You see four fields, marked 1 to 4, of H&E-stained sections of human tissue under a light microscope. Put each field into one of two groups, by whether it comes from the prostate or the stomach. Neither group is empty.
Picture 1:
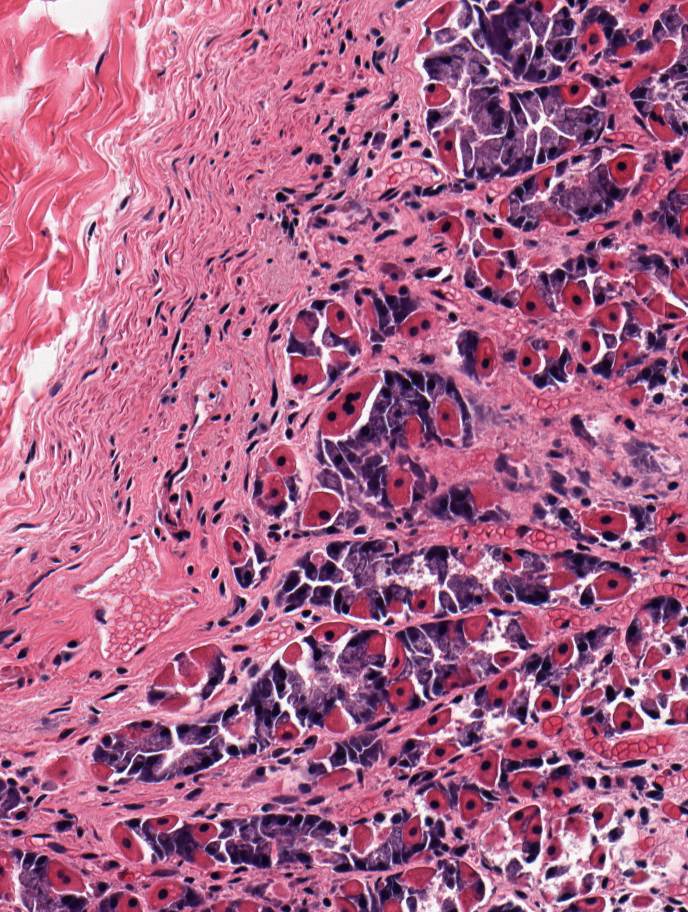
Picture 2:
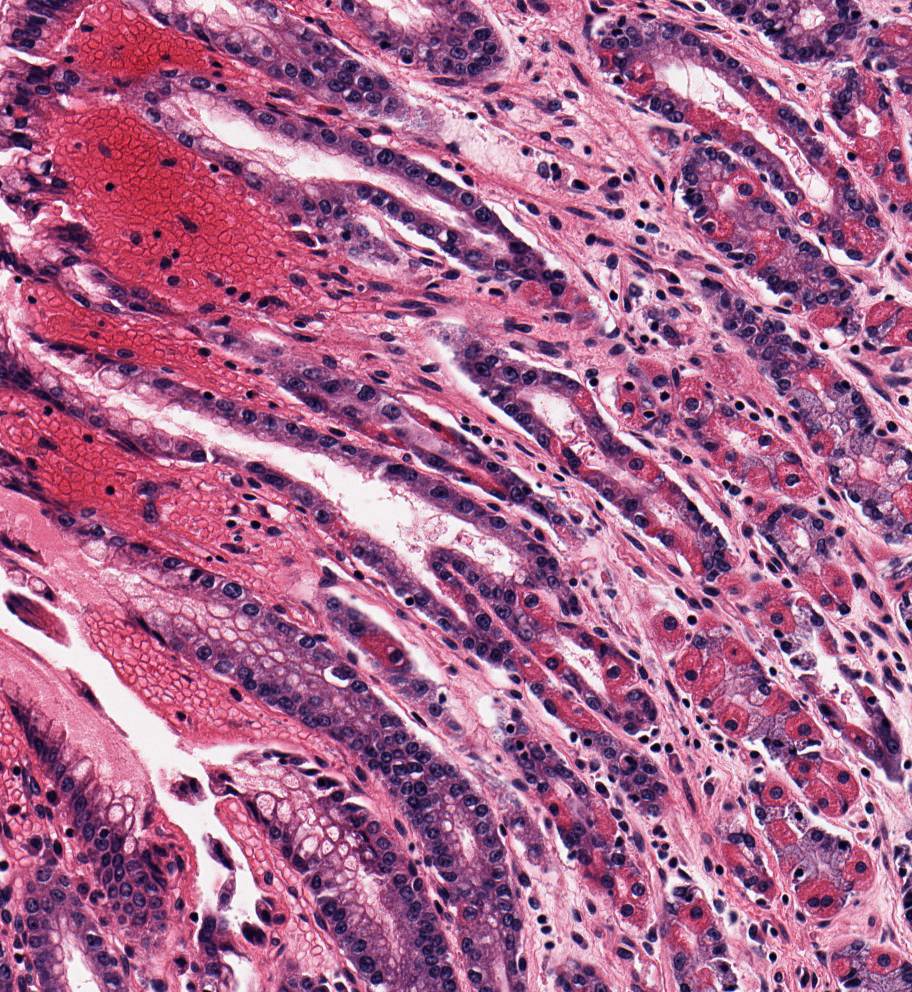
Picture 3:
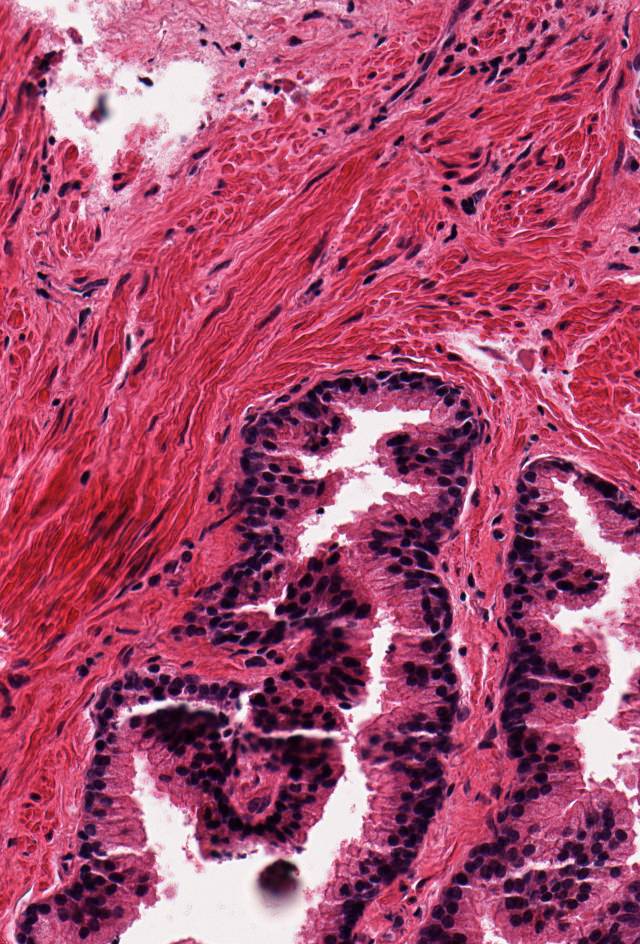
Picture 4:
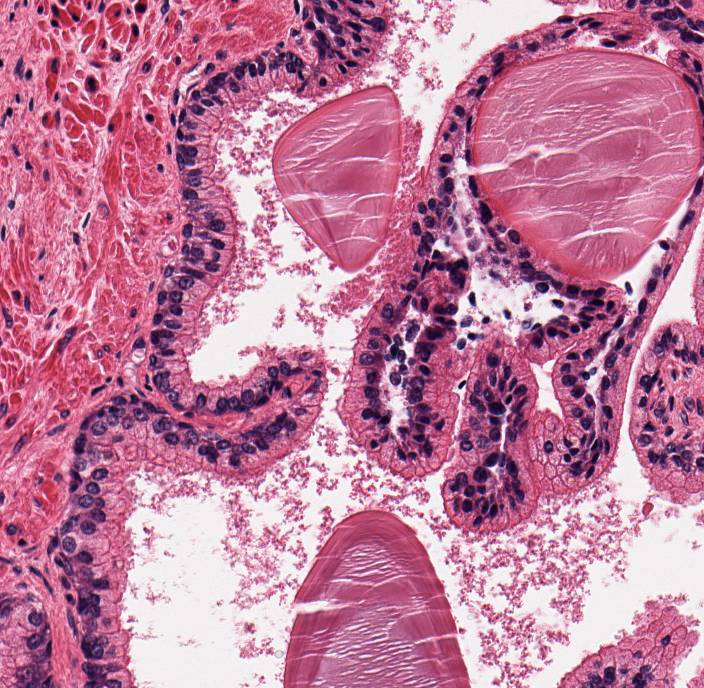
1: stomach
2: stomach
3: prostate
4: prostate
